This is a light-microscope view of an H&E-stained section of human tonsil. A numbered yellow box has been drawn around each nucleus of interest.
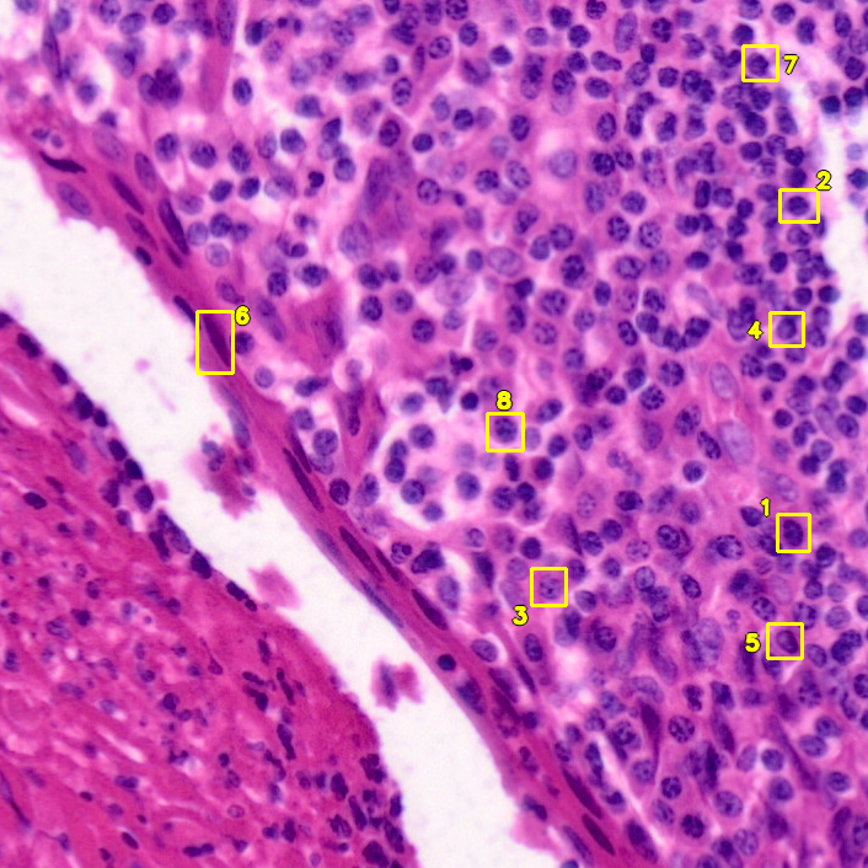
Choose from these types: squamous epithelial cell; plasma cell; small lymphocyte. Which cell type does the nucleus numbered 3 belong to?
plasma cell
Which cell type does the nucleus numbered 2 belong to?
small lymphocyte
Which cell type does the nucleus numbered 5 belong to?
plasma cell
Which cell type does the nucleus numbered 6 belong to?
squamous epithelial cell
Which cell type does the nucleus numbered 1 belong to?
plasma cell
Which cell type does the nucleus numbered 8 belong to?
plasma cell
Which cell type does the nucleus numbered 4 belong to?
small lymphocyte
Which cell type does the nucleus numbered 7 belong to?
small lymphocyte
